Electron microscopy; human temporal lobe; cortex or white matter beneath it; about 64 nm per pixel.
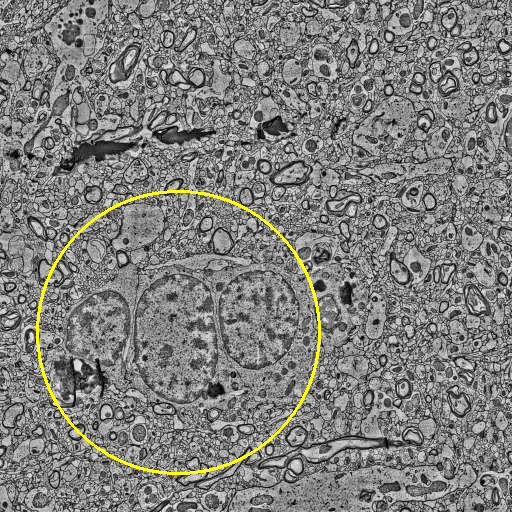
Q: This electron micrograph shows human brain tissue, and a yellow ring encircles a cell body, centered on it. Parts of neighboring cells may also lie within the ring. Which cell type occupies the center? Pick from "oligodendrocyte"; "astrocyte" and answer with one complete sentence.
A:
What sits at the ring's center in this micrograph is an oligodendrocyte, among those choices.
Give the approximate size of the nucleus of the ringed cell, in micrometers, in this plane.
The nucleus comes to roughly 8 by 6 micrometres in this plane.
